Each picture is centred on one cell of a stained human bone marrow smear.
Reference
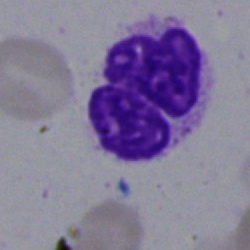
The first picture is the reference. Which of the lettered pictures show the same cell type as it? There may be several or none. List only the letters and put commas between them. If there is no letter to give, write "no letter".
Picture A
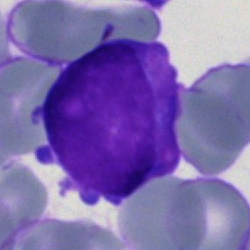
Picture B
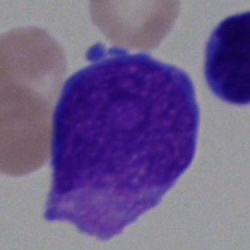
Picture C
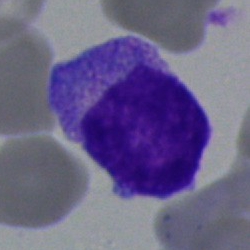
no letter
